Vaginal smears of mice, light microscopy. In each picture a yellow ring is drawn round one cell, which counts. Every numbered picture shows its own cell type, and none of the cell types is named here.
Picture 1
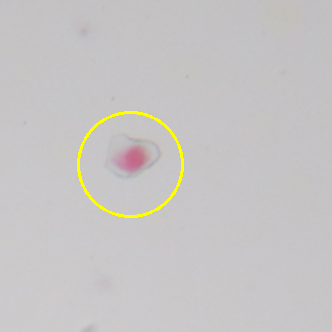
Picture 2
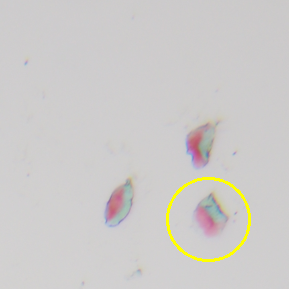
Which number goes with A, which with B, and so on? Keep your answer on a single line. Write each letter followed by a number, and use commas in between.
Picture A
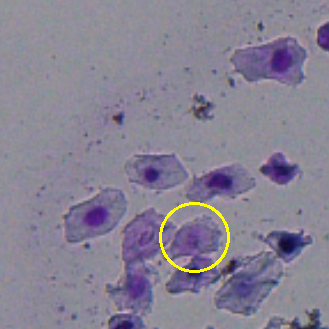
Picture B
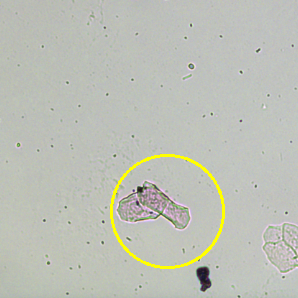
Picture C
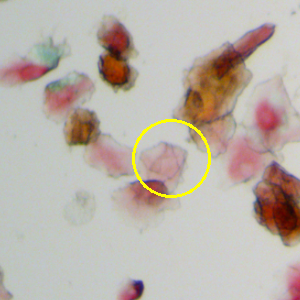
A 2, B 2, C 2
